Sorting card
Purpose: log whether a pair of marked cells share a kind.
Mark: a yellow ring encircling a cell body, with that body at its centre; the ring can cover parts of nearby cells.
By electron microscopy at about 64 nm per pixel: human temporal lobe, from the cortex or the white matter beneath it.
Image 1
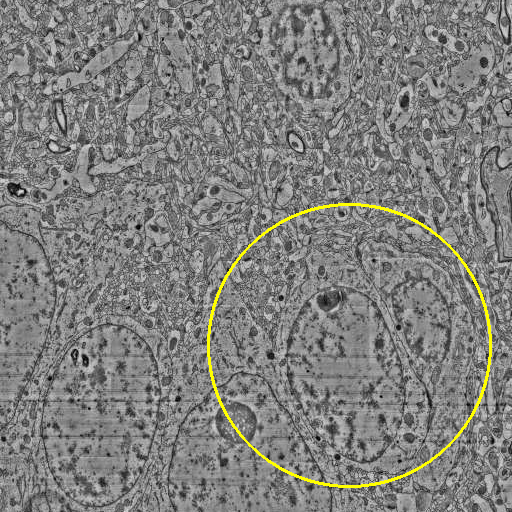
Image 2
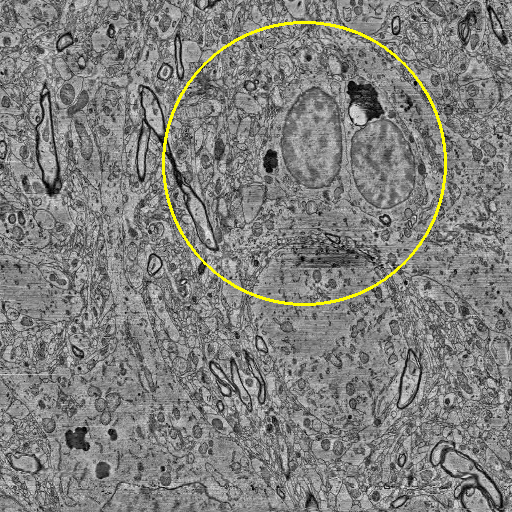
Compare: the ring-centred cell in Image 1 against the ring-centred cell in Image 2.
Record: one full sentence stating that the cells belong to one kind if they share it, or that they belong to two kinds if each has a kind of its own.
Across Images 1 and 2, the two ring-centred cells belong to two kinds.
